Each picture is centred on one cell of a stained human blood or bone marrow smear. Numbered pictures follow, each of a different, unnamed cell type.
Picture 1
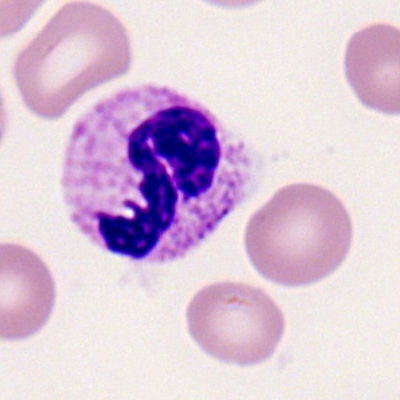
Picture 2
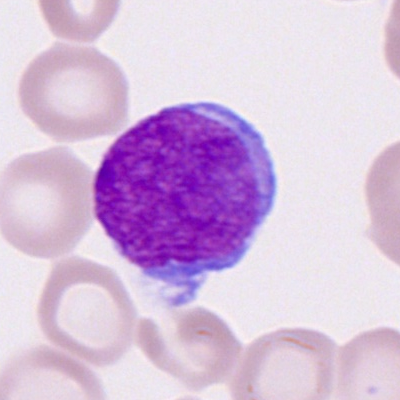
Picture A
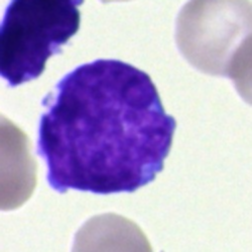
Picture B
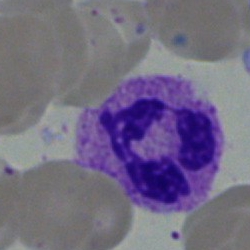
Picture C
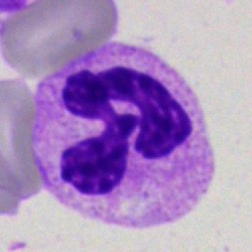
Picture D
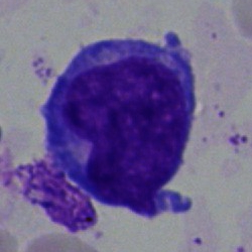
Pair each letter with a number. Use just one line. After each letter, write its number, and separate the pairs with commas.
A 2, B 1, C 1, D 2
